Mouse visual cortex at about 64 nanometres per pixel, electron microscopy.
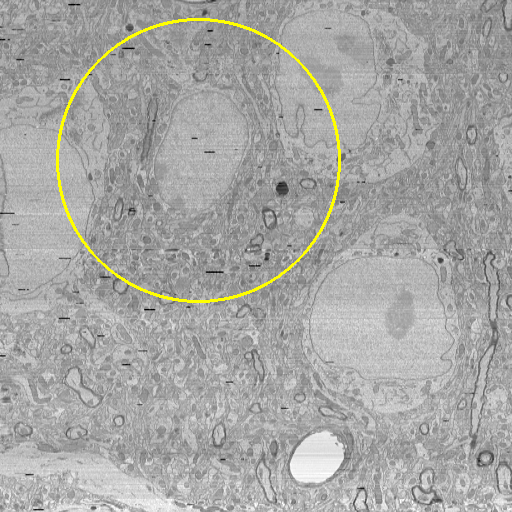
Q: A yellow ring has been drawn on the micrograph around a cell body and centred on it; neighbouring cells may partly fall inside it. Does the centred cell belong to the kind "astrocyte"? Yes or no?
Yes, it belongs to that kind.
